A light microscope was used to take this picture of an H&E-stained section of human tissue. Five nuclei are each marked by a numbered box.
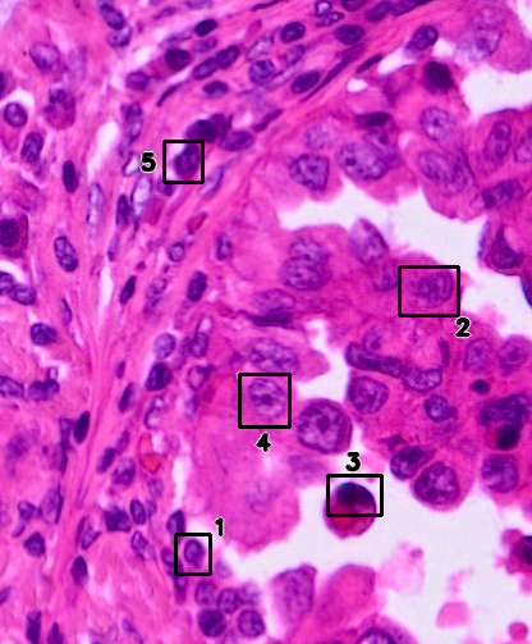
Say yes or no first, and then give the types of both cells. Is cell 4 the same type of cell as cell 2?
Yes, the pair of cells 4 and 2 are both carcinoma cells.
